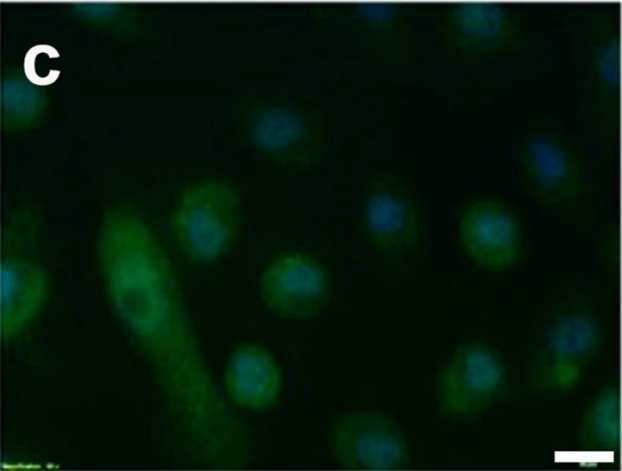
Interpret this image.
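At the lower left lies a large elongated spindle-shaped cell with a long tapering body and an oval nucleus, distinct from the rounder neighbouring cells. The cells are spread apart with dark background between them, and the image is somewhat soft in focus.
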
